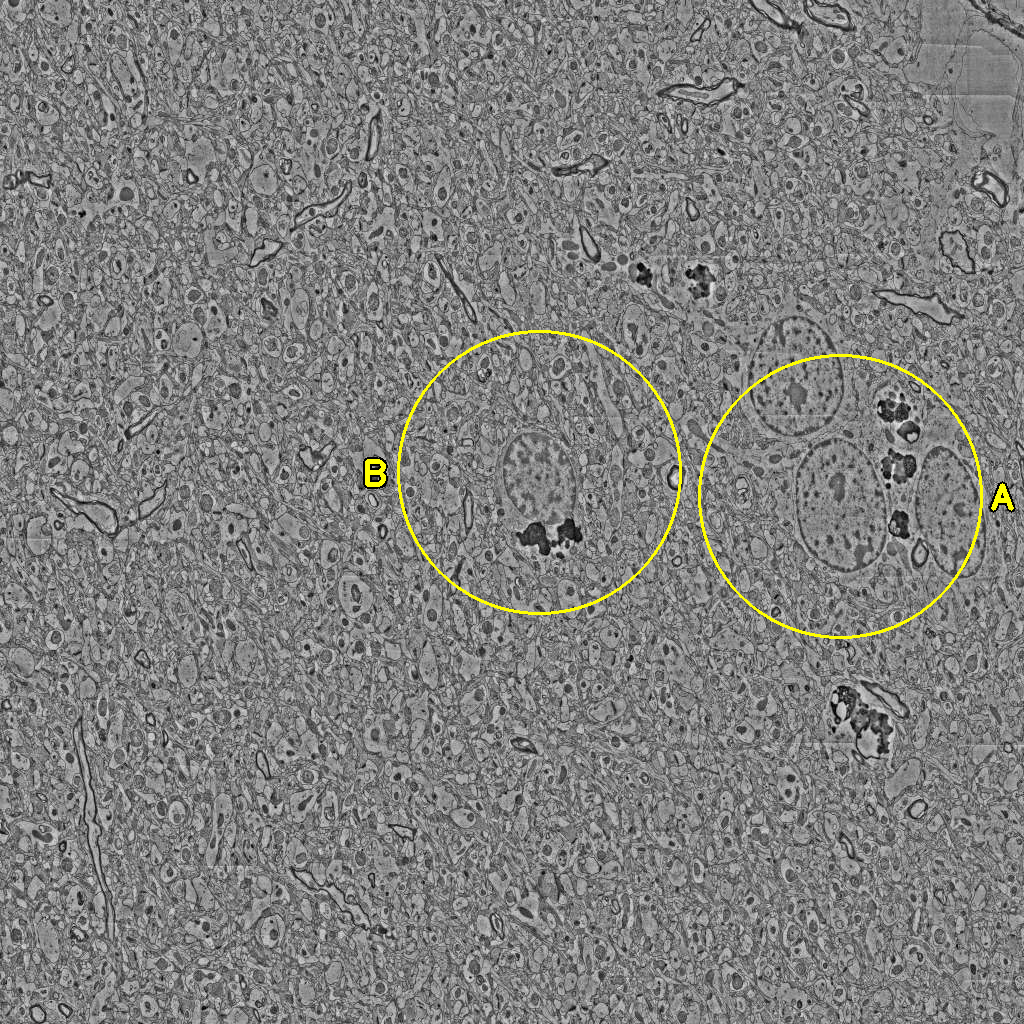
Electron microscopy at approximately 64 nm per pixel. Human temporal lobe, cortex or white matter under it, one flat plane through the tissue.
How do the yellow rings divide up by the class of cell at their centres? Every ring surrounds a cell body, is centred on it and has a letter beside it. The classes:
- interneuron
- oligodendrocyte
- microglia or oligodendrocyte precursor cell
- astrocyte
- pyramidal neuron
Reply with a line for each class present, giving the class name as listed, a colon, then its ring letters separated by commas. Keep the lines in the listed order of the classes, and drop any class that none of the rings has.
oligodendrocyte: B
astrocyte: A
